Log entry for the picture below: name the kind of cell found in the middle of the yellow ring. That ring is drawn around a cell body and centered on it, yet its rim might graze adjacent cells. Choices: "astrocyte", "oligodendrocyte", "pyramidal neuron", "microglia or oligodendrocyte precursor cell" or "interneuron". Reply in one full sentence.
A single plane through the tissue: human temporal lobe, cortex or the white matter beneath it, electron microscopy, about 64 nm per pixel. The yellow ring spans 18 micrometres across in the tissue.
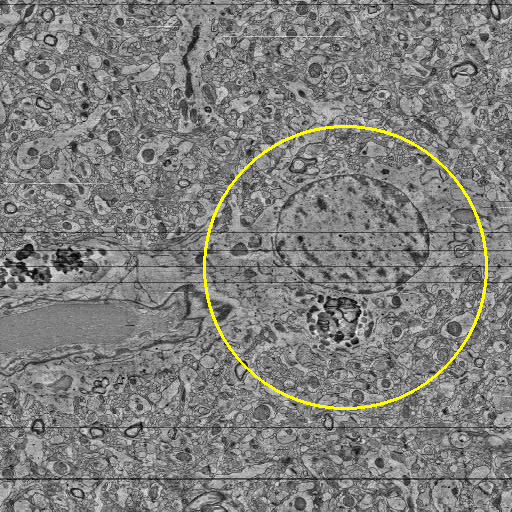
The cell in the middle of the yellow ring in this picture is an astrocyte.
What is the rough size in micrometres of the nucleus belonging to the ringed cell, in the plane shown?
In this plane, about 10 micrometres in length and 8 in width.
